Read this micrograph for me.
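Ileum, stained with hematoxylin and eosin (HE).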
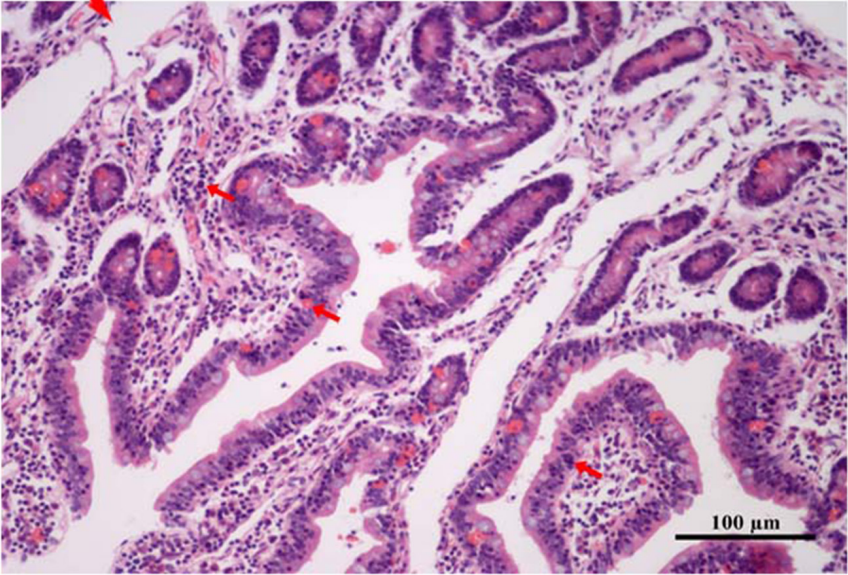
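This section of ileal mucosa shows villi and crypts, with the lamina propria heavily populated by inflammation cells. The villi are lined by tall columnar epithelium with purple, basally placed nuclei and scattered pale goblet cells, and crypts cut in cross-section show cells with bright red cytoplasmic granules. The cores of the villi and the stroma between crypts are crowded with small round, densely purple nuclei with scant cytoplasm.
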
